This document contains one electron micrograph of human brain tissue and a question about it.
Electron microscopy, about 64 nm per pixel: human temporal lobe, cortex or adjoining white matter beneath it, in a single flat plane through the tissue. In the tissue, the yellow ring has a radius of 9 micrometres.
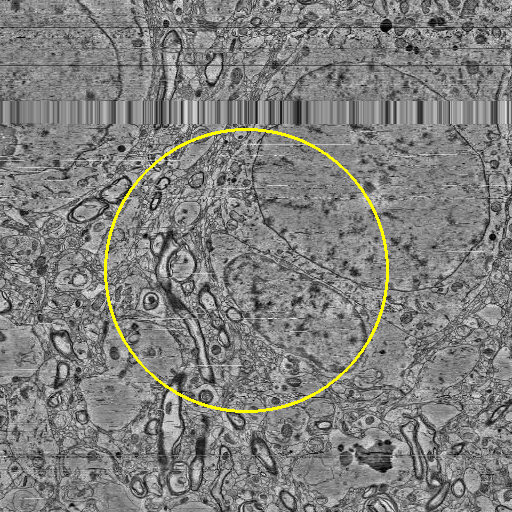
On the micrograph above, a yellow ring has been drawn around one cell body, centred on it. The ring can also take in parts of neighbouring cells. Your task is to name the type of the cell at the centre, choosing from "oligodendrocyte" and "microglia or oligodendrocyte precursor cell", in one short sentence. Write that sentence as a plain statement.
Here the ring is centred on a microglial cell or oligodendrocyte precursor cell.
